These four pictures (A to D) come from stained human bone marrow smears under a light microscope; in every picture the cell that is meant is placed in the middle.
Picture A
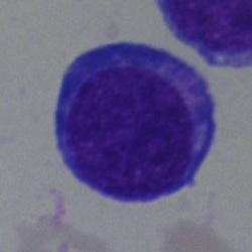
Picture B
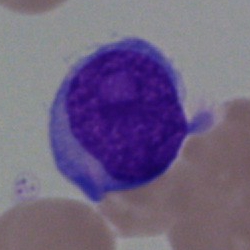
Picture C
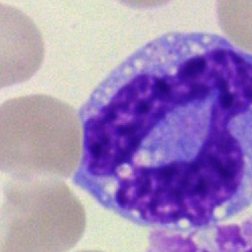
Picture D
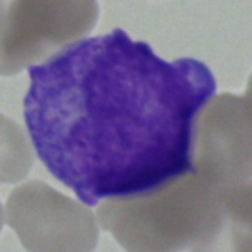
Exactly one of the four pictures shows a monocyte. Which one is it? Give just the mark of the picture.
C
